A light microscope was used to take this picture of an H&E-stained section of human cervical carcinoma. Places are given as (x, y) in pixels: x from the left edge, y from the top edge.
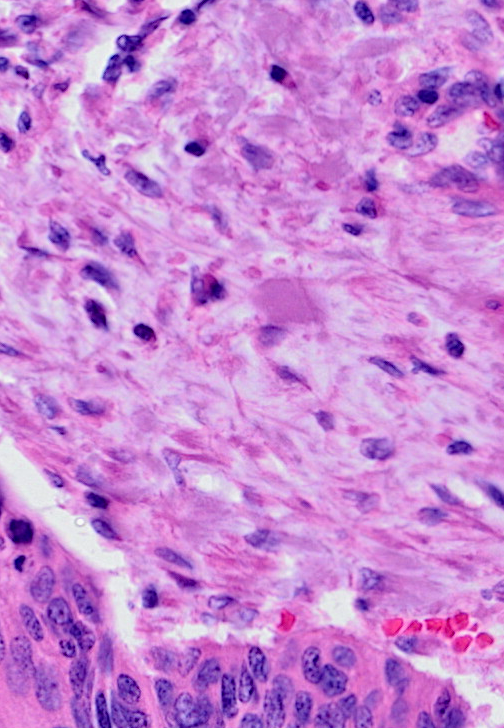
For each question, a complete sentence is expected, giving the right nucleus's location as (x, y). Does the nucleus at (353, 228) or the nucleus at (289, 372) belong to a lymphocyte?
Lying within a lymphocyte is the nucleus at (353, 228).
